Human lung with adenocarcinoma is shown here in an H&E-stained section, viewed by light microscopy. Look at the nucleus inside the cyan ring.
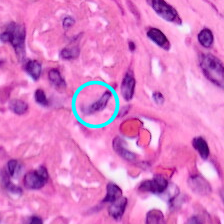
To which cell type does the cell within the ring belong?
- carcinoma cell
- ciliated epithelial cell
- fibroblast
fibroblast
